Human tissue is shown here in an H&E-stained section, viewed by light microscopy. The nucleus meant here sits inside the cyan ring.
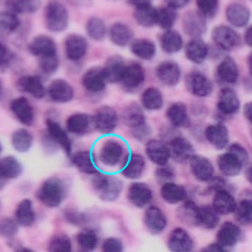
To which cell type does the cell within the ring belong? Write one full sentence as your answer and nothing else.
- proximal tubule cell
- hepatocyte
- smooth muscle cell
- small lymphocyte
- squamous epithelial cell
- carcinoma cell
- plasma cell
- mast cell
In the tissue under study, the cell within the ring is a small lymphocyte.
